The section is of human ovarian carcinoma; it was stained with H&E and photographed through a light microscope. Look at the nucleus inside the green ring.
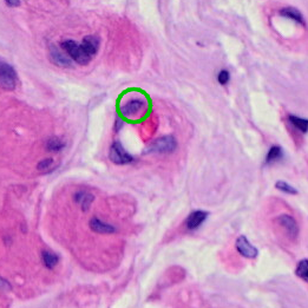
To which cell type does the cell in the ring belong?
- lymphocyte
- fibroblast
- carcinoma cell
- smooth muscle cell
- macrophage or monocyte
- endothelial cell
endothelial cell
